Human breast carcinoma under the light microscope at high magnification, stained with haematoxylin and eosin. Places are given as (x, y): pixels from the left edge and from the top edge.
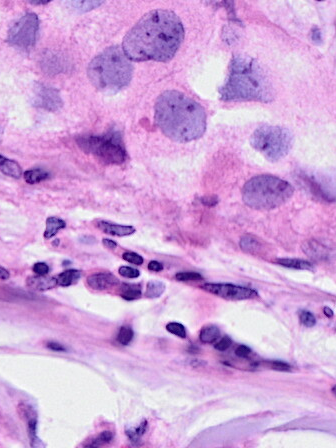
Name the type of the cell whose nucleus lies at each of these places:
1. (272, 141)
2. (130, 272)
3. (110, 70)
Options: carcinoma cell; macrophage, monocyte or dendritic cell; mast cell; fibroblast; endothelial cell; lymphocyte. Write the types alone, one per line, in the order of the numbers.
carcinoma cell
lymphocyte
carcinoma cell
